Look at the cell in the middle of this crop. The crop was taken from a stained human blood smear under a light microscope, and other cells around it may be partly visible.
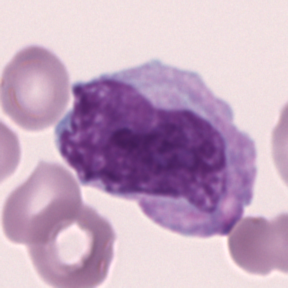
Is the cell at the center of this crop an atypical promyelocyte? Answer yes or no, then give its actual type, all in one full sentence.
Yes, the cell found in the middle is an atypical promyelocyte.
